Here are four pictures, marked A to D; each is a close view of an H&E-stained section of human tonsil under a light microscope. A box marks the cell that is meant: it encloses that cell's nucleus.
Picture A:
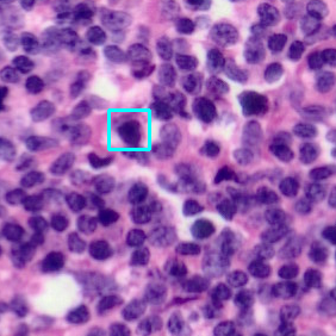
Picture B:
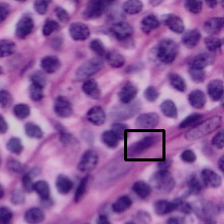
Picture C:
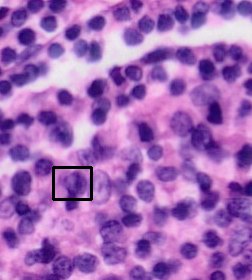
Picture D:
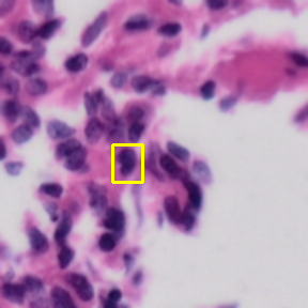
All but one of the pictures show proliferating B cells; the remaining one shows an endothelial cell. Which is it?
B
